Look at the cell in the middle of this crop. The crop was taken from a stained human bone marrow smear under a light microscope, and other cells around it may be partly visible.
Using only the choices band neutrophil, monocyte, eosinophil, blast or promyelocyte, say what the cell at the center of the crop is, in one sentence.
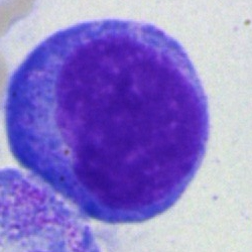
In short, the cell at the center is a blast.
